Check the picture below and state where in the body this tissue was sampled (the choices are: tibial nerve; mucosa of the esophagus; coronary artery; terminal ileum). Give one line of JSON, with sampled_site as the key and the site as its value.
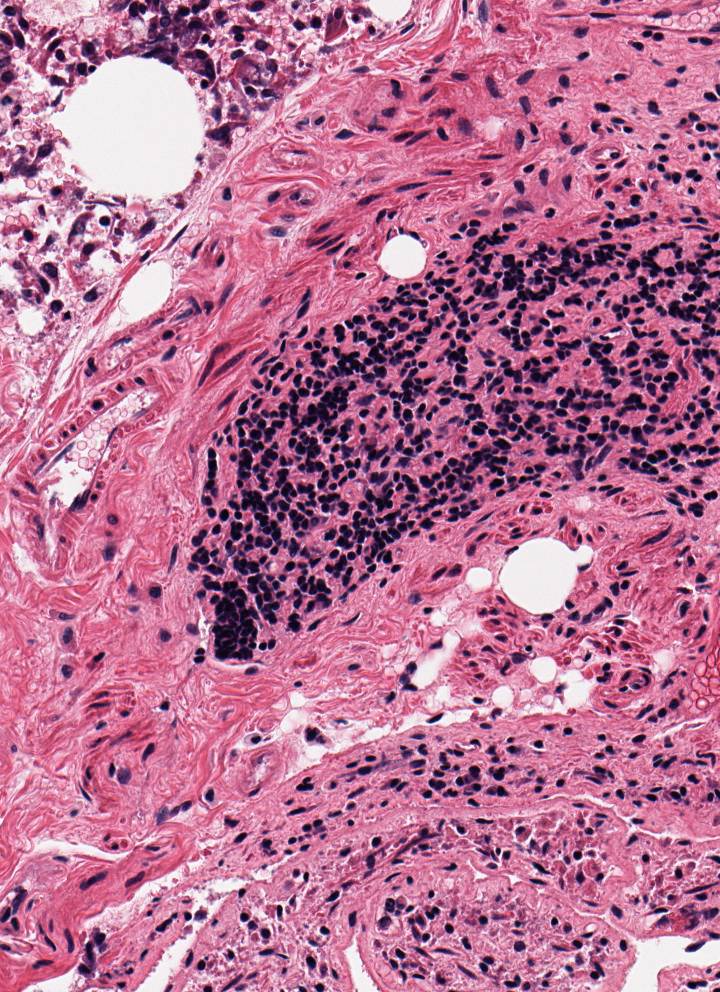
{"sampled_site": "terminal ileum"}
